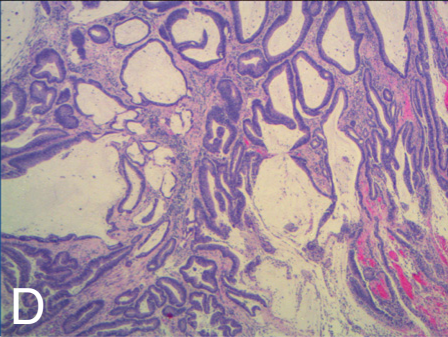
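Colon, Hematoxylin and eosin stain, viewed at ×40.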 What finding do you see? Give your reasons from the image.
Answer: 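Wide pale, nearly clear spaces filled with faint wispy material lie between the glands. Strips of purple epithelium line or float at the edges of these pale spaces.
Conclusion: large pools of mucin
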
